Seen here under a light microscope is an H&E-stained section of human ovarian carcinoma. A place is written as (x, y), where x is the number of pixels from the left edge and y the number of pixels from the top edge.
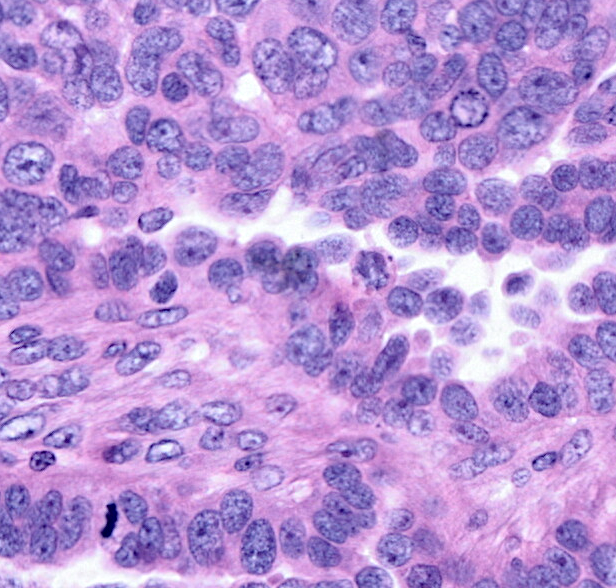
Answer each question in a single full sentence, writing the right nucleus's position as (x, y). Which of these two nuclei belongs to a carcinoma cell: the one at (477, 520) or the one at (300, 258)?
The nucleus at (300, 258) is assigned to a carcinoma cell.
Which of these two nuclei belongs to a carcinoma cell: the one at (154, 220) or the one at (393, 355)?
Heads up, the nucleus at (393, 355) is the one that belongs to a carcinoma cell.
